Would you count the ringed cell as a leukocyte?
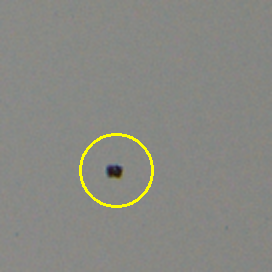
Yes, I would count it as a leukocyte.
